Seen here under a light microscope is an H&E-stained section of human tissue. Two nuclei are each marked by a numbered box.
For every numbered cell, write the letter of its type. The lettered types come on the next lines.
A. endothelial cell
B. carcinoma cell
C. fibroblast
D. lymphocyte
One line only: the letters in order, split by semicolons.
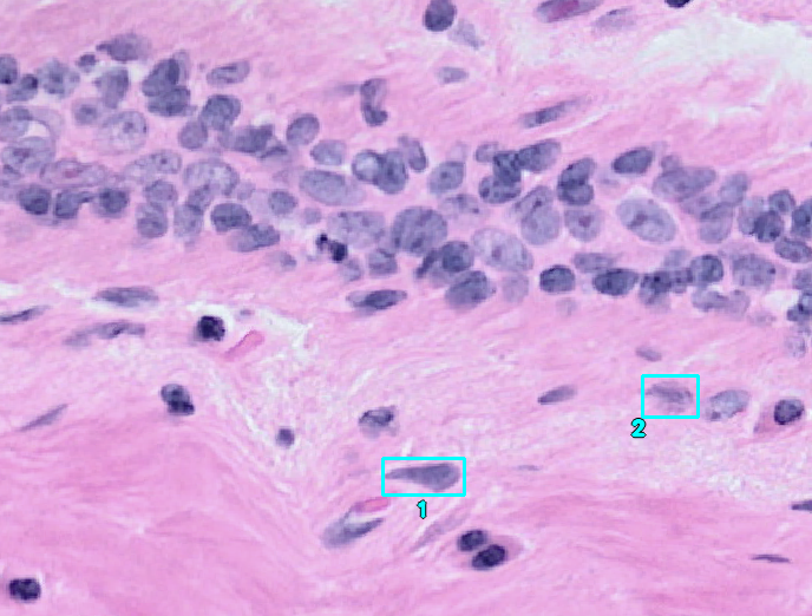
A; C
